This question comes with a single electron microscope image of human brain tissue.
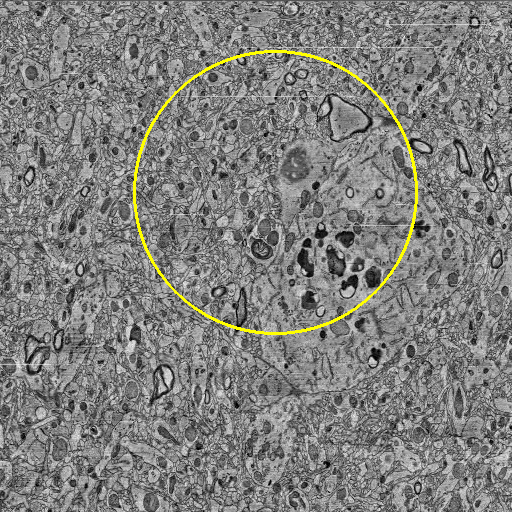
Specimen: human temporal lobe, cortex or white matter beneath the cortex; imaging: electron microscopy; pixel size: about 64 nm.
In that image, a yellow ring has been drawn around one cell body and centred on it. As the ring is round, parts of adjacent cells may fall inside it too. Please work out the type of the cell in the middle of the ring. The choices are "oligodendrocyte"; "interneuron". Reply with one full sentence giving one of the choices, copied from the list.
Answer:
Of the choices, an oligodendrocyte is the cell sitting in the middle of the ring.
